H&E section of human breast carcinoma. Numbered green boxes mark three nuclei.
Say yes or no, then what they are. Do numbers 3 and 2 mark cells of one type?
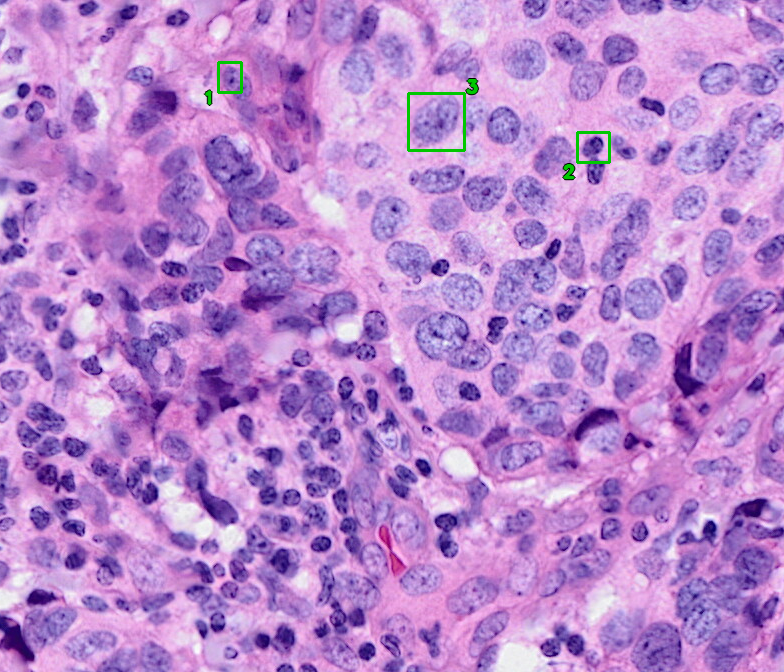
No, in contrast to cell 3, which is a carcinoma cell, cell 2 is a lymphocyte.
